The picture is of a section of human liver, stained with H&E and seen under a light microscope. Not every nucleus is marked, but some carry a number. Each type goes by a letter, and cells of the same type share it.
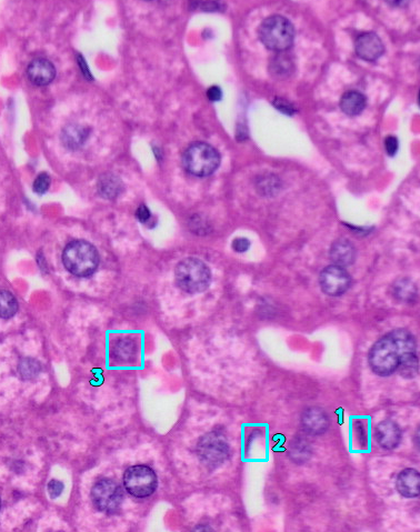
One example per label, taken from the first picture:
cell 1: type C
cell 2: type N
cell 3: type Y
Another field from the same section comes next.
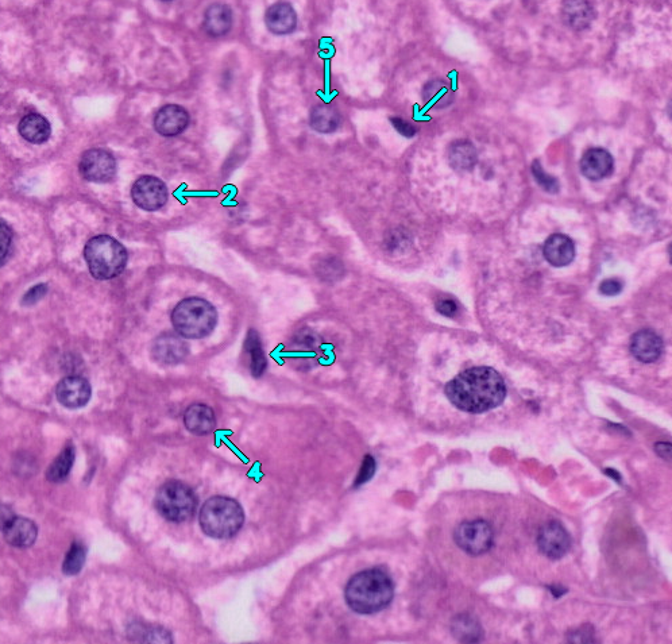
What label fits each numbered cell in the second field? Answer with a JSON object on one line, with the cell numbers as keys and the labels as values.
{"1": "type N", "2": "type Y", "3": "type C", "4": "type Y", "5": "type Y"}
